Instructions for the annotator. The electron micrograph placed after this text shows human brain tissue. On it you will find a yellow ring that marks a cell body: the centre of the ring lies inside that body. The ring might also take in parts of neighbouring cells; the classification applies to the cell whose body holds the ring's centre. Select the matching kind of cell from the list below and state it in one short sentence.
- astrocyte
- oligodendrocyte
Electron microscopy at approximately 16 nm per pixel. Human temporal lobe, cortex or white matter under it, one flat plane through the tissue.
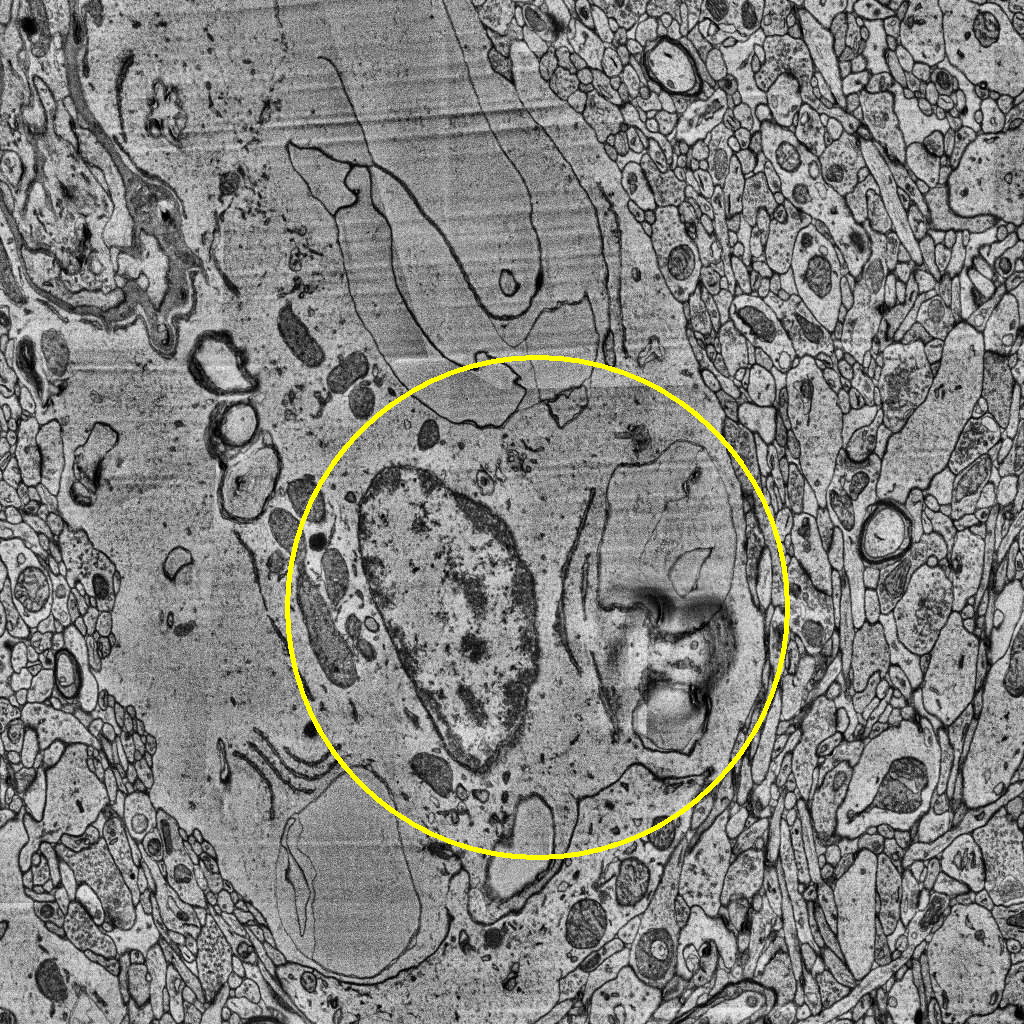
The centre of the ring lies in the cell body of an astrocyte.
